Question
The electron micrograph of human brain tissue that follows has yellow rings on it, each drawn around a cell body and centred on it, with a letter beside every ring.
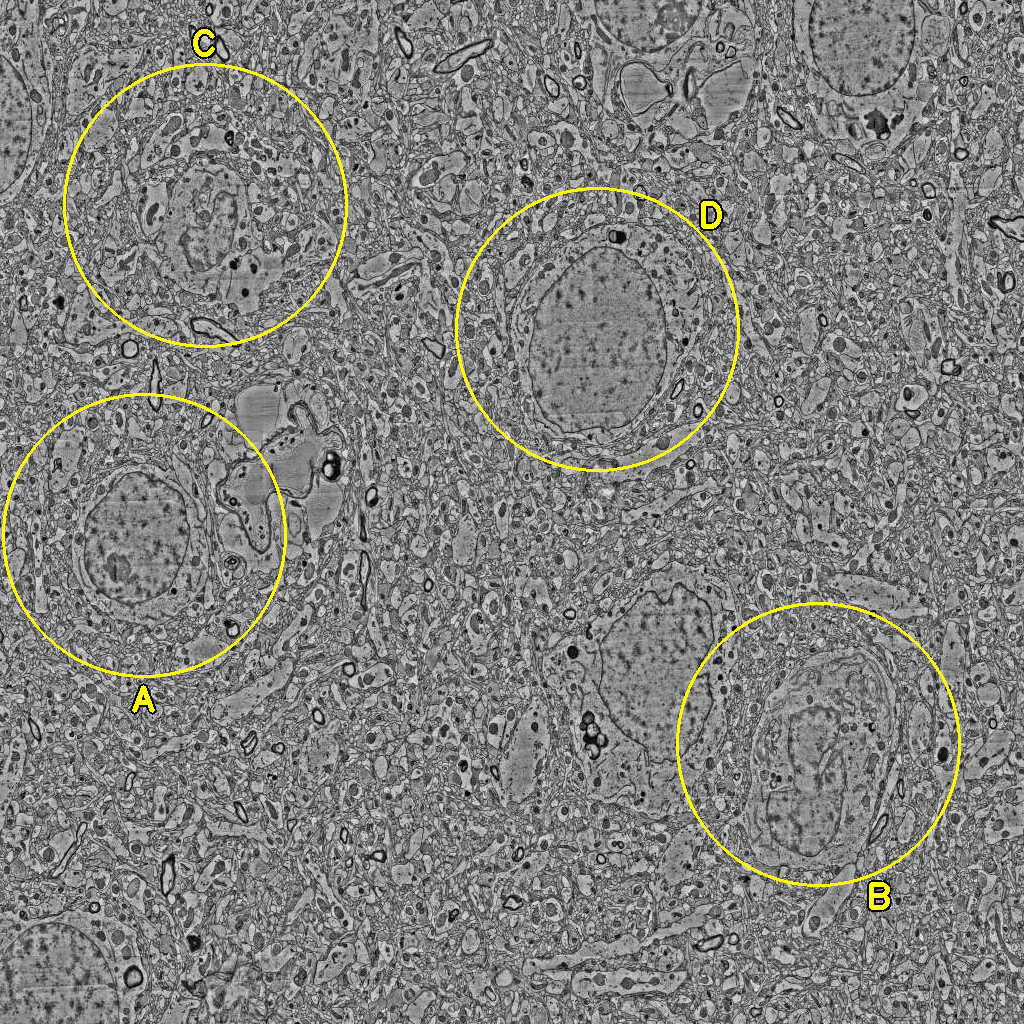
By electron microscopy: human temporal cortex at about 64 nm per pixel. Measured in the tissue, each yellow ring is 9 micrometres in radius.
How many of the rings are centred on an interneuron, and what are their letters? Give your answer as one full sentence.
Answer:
Marked by the letters B and C, two rings are each centred on an interneuron.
